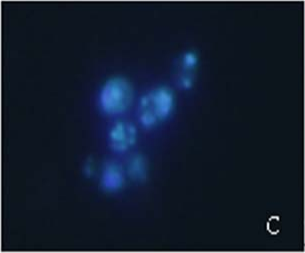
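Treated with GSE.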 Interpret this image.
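These are yeast cells seen in blue fluorescence, with their nuclei the brightest parts. Several small rounded cells form a loose cluster against a dark background. Within the cells the blue light is uneven, gathered into brighter patches and specks rather than one even glow. Some cells appear smaller and dimmer than their neighbours.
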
